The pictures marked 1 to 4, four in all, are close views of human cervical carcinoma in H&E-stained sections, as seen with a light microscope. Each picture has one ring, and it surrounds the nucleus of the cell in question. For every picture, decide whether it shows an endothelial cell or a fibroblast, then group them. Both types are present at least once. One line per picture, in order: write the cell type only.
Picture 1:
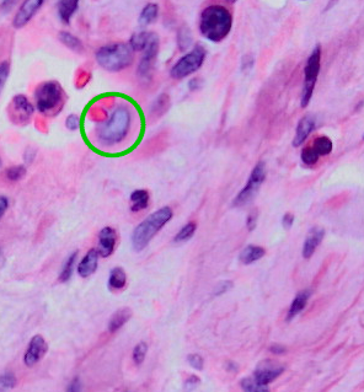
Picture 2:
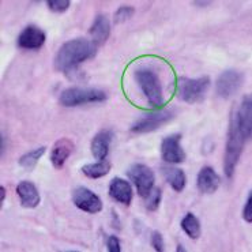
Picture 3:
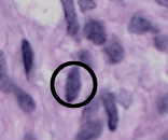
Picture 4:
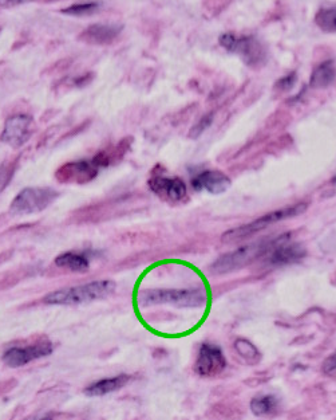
endothelial cell
fibroblast
fibroblast
fibroblast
